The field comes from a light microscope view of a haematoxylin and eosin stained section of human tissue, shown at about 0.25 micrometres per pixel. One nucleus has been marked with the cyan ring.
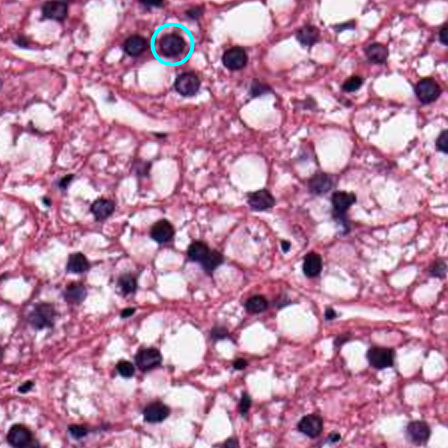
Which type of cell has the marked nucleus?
adrenal cortical cell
